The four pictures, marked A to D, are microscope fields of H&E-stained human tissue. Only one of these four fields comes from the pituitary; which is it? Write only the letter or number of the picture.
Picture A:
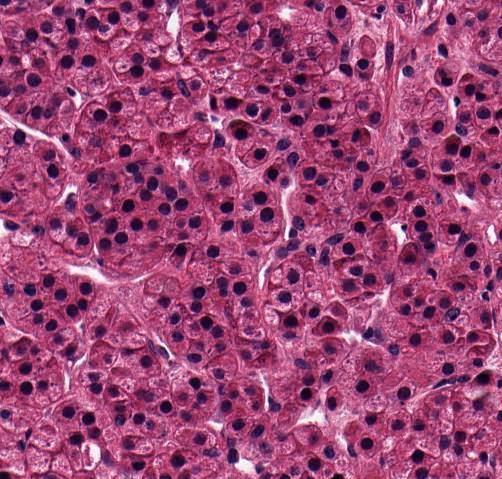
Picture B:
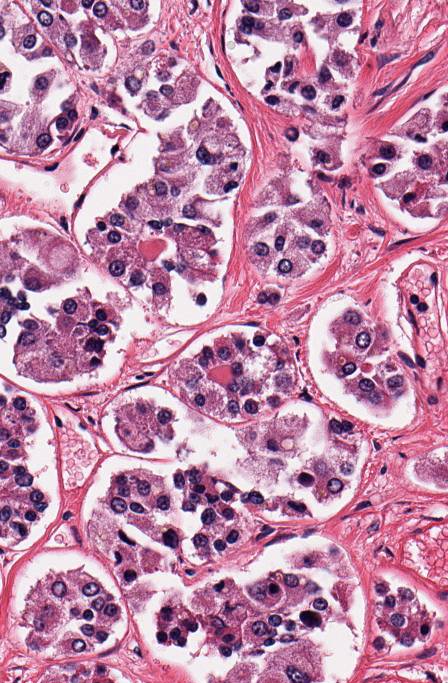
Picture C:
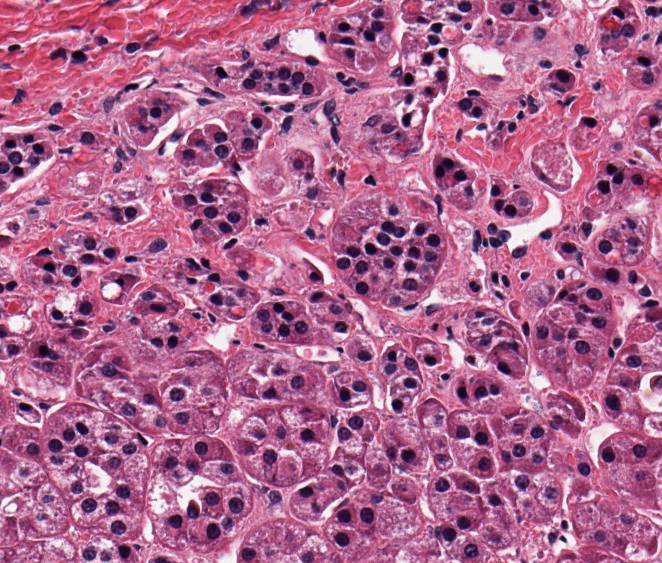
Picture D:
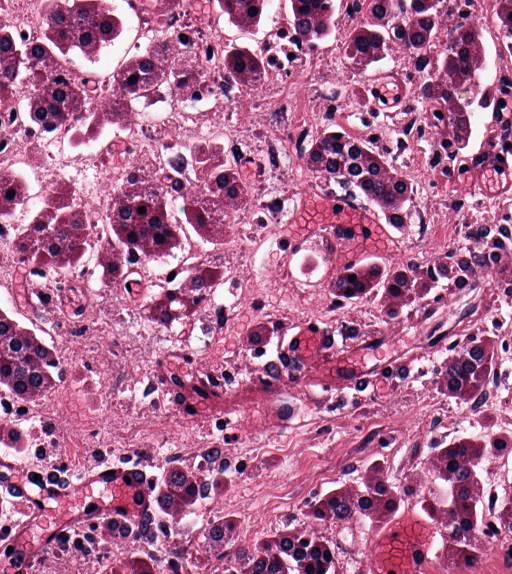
B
